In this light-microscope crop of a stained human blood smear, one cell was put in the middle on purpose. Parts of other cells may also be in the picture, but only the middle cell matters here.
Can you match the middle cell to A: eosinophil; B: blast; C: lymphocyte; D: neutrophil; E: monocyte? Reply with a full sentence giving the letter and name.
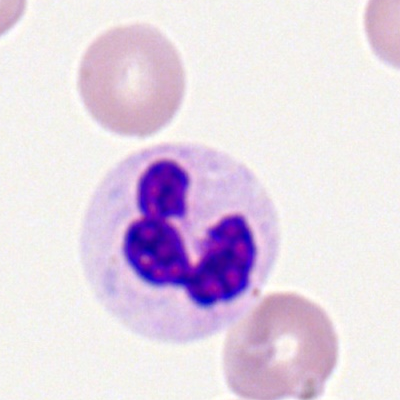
The one cell at the centre is a neutrophil, as correctly stated in option D.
